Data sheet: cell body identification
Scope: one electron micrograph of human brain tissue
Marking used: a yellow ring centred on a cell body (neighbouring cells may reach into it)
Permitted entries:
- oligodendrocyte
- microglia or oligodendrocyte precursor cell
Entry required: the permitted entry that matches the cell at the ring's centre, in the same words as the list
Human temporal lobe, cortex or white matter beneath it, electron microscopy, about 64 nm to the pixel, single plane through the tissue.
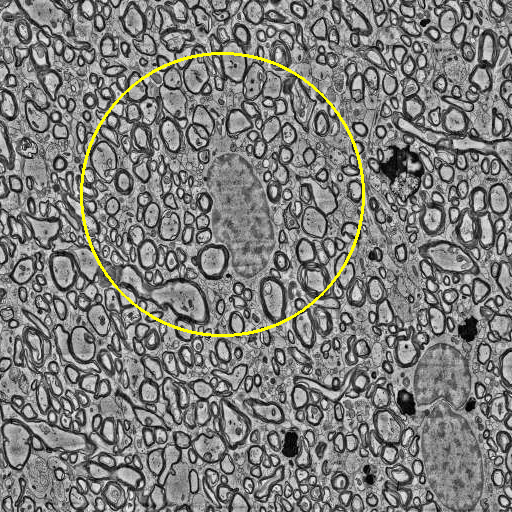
oligodendrocyte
